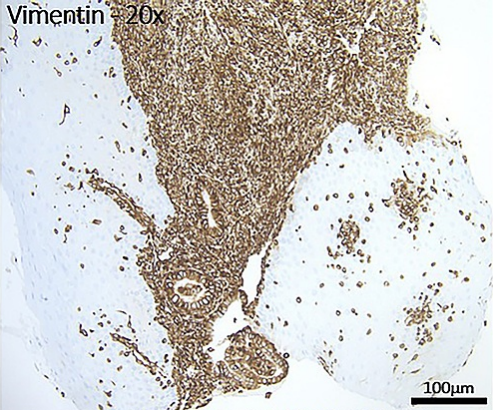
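This section shows a wedge of cellular stroma containing small glands, pushing between pale sheets of stratified squamous epithelium. The stroma is densely and diffusely stained brown throughout, made up of closely packed spindle cells. The squamous epithelium around it is largely unstained, with blue nuclei and pale cytoplasm, apart from scattered single brown cells and small brown clusters within it. Fine brown strands of stroma extend outward at the edge of the wedge.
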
